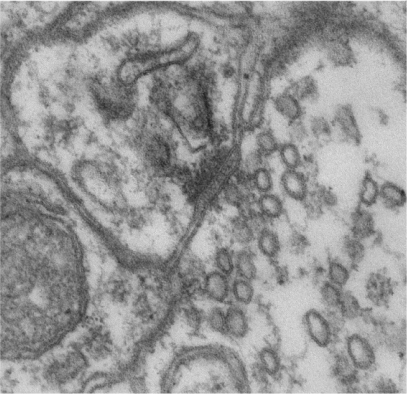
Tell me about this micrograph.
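Several neuronal profiles bounded by dark membranes are packed closely together. At the centre lies a dark, dense thickening where two membranes meet, which marks the synaptic contact. Many small round vesicles with clear interiors and fairly uniform size crowd the cytoplasm on the presynaptic side and spread out into the surrounding area. A larger rounded profile with fine granular contents sits at the lower left. Elongated membrane profiles and small fuzzy granular clumps are scattered among the vesicles.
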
